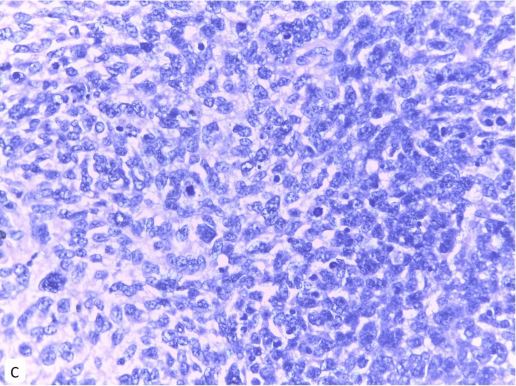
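The cells vary in shape, some round, some stellate and others spindle-shaped, and most have only a thin rim of pale cytoplasm around a dark purple nucleus. The nuclei are crowded and unevenly sized, giving the field a dense, blue appearance.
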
